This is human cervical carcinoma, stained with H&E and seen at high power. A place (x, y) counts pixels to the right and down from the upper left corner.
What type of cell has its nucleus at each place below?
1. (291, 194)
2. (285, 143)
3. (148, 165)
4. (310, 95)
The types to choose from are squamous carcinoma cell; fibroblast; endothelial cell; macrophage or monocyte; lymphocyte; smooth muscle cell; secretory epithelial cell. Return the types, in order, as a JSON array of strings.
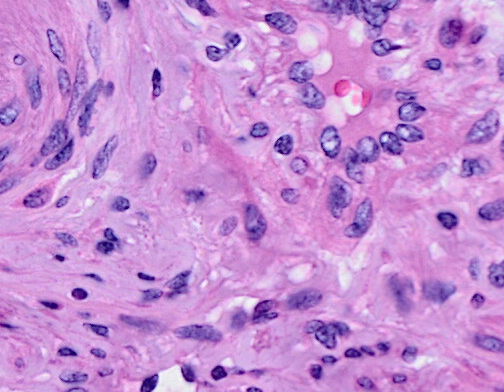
["smooth muscle cell", "lymphocyte", "fibroblast", "endothelial cell"]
